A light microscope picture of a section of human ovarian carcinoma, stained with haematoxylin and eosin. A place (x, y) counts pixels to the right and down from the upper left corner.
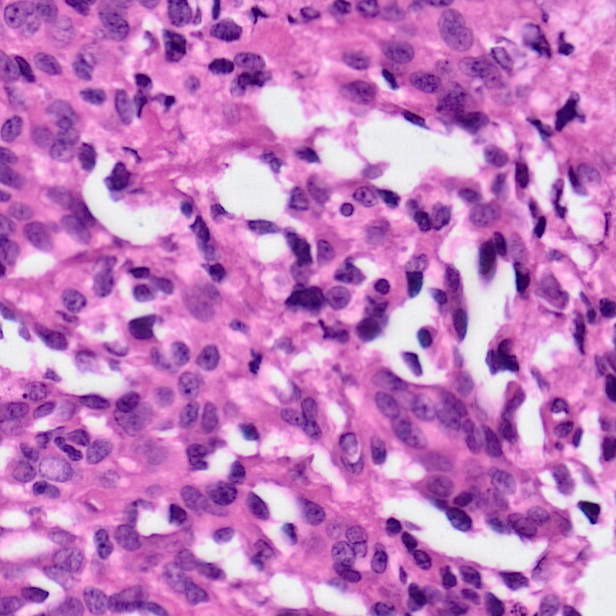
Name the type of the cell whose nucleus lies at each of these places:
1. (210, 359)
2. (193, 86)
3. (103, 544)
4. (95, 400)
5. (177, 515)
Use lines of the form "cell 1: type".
cell 1: macrophage or monocyte
cell 2: macrophage or monocyte
cell 3: macrophage or monocyte
cell 4: carcinoma cell
cell 5: carcinoma cell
